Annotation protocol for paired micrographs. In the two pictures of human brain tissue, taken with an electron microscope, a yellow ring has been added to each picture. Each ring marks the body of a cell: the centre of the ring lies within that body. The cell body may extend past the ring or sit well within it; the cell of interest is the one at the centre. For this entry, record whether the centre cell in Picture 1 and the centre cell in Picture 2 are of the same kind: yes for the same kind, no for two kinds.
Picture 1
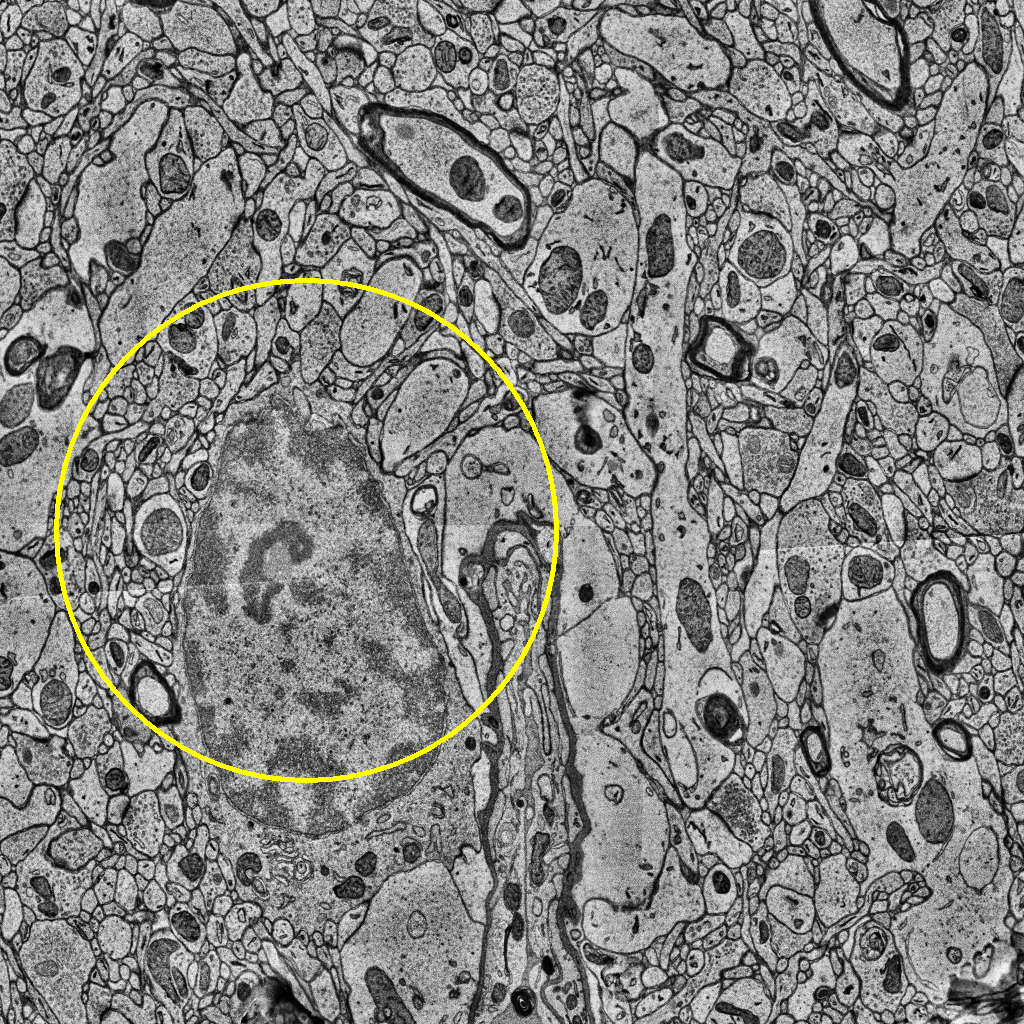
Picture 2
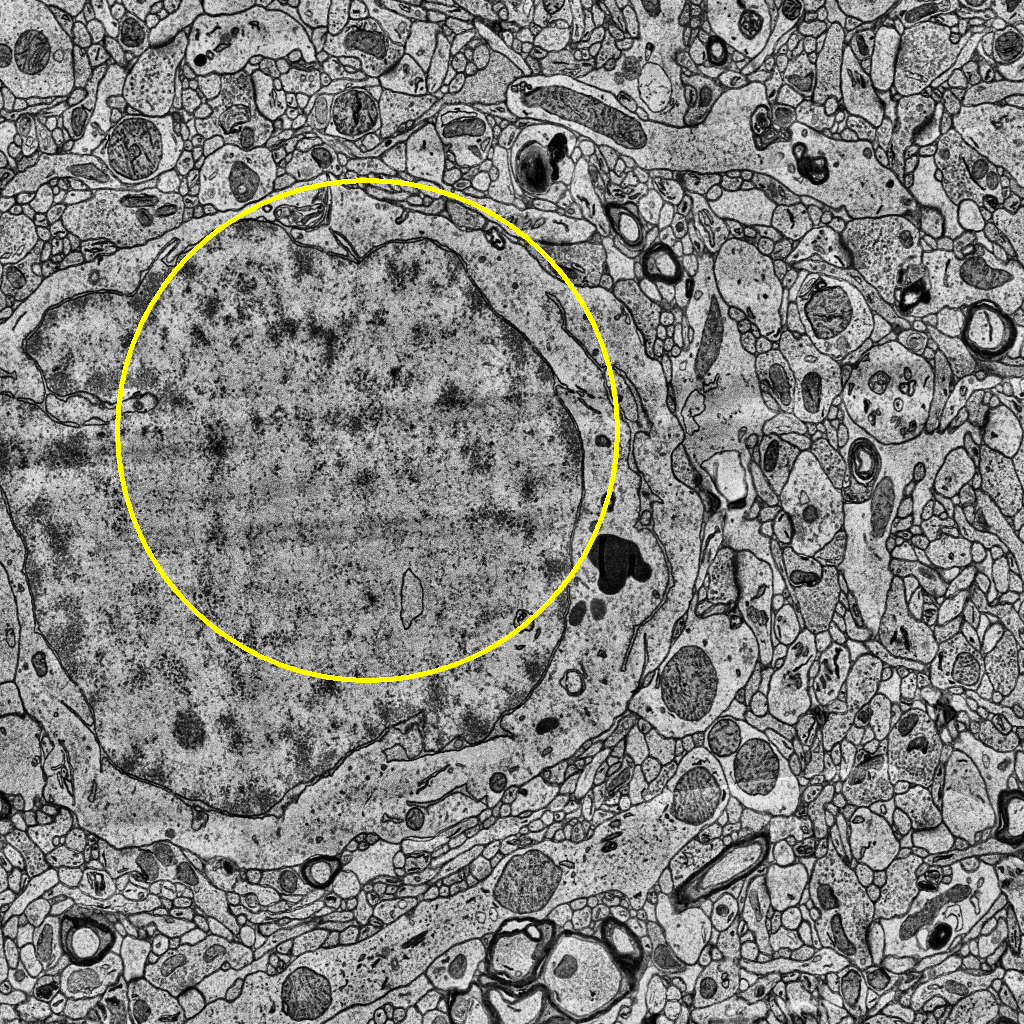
no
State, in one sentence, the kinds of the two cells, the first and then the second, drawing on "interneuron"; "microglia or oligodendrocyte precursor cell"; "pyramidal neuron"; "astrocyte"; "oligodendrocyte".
Here the first cell is an oligodendrocyte and the second cell is an interneuron.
